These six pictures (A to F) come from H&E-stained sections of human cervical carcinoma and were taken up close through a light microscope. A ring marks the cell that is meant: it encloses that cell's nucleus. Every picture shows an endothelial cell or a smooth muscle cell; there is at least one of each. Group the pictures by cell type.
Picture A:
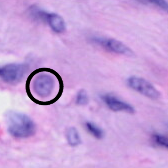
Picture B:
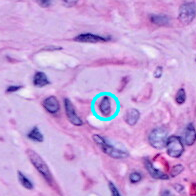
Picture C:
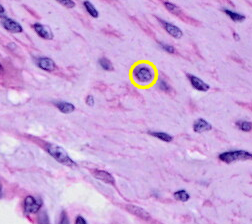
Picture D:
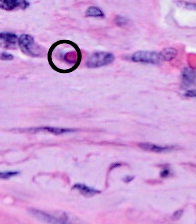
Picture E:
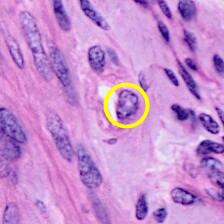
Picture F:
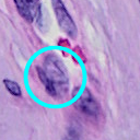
A: endothelial cell
B: smooth muscle cell
C: smooth muscle cell
D: endothelial cell
E: endothelial cell
F: endothelial cell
